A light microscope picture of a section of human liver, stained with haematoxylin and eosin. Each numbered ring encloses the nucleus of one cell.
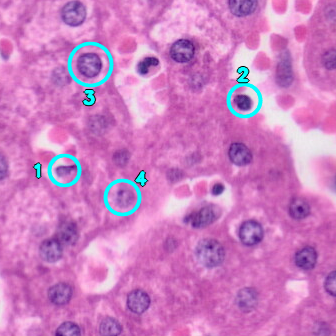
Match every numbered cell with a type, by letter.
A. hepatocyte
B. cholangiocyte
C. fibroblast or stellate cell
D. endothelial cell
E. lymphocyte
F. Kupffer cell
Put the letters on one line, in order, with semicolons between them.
D; E; A; A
